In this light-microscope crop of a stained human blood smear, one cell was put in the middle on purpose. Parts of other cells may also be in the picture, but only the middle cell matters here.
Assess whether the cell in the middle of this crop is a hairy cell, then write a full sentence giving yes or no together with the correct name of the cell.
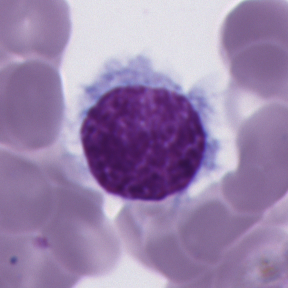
Yes, the cell in the middle of the crop is a hairy cell.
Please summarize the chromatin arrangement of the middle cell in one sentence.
Its chromatin is clumped in a coarse pattern.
